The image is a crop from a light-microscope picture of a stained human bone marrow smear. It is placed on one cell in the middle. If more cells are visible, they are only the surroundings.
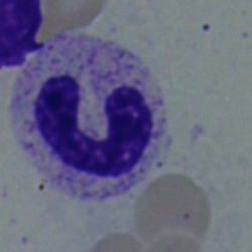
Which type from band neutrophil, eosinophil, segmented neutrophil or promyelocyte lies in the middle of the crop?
band neutrophil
